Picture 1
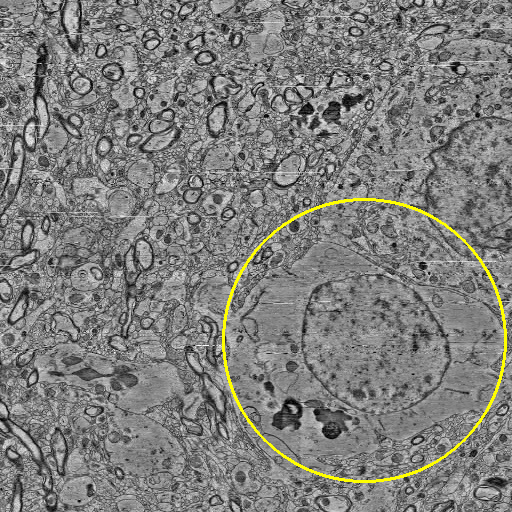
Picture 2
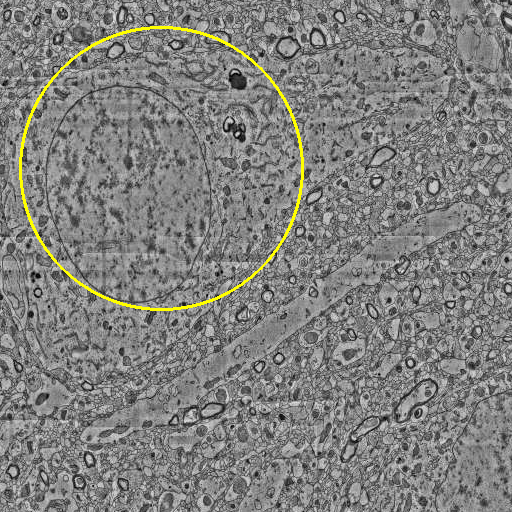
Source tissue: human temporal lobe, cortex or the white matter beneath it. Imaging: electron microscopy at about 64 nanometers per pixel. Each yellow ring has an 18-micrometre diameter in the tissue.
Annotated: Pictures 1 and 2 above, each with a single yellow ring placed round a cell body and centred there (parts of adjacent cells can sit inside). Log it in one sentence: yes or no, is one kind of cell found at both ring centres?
No, the ring centres of the two pictures hold cells of two kinds.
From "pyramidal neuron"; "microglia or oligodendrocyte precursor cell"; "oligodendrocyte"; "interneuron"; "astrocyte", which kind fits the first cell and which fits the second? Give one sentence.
The cell marked in the first picture is an astrocyte, and the one marked in the second is a pyramidal neuron.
